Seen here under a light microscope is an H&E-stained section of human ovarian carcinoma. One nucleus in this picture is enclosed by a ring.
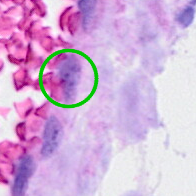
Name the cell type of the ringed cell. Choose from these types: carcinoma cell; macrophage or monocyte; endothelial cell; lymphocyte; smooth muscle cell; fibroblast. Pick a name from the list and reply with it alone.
endothelial cell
